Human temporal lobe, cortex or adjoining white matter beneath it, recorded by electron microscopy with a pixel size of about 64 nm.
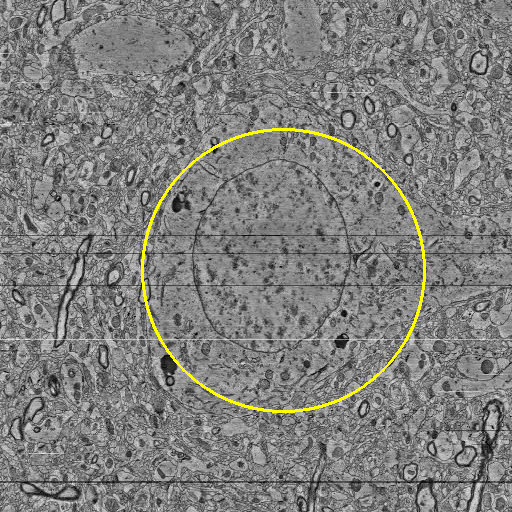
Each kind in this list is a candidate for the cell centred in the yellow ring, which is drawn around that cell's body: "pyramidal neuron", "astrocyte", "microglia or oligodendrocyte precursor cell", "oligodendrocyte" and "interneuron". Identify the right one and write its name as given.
pyramidal neuron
